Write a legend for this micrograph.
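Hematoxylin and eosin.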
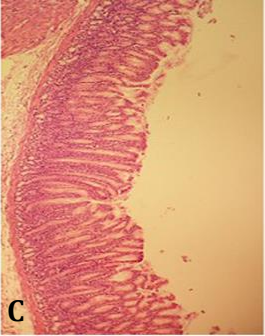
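Here the stomach mucosa is seen as a curved band of straight tubular glands lying parallel to one another, pink-stained with rows of purple nuclei. The glands open toward the free surface on the lumen side, and a paler, looser layer of tissue runs beneath them.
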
